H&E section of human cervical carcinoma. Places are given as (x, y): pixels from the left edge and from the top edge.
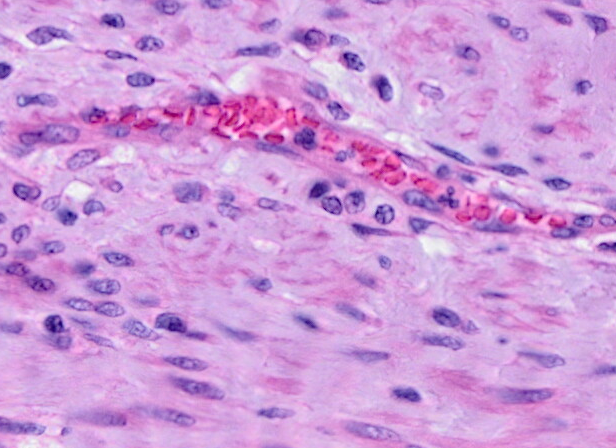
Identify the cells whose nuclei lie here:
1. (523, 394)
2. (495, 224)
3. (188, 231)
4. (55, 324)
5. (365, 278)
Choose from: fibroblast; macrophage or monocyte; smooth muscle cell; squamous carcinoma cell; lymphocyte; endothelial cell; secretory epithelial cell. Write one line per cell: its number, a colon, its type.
1: smooth muscle cell
2: endothelial cell
3: smooth muscle cell
4: lymphocyte
5: smooth muscle cell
